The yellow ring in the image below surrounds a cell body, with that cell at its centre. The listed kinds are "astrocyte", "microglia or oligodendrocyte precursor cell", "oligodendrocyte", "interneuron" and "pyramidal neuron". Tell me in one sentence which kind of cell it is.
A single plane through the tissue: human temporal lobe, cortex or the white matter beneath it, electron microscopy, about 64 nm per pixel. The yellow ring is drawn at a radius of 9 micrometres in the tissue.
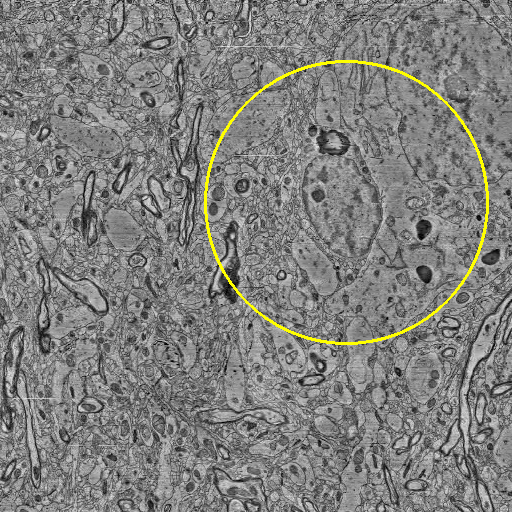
The centre of the ring holds an oligodendrocyte.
